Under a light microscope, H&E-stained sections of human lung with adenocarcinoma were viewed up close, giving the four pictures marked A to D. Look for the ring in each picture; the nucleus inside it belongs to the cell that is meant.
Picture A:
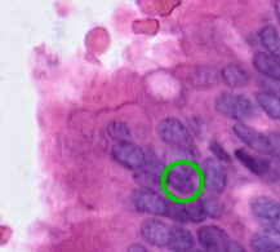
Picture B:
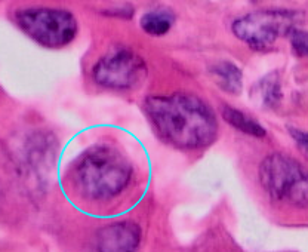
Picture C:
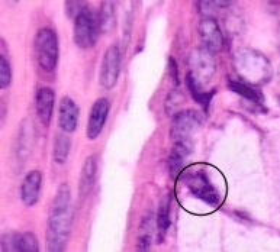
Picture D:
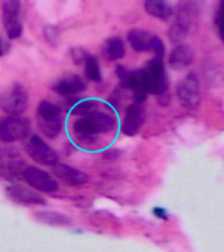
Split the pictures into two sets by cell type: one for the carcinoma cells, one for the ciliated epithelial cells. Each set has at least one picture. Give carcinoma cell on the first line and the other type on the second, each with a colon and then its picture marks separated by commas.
carcinoma cell: B
ciliated epithelial cell: A, C, D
